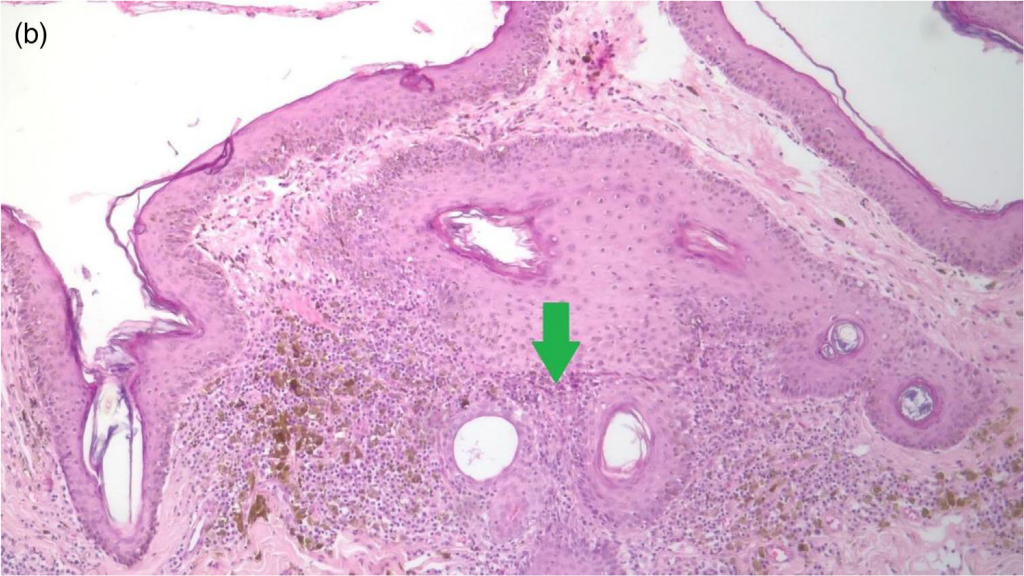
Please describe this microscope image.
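This is skin with a thin, undulating epidermis and several hair follicles cut in cross and oblique section within the dermis. The dermis around the follicles is crowded with small, dark, round lymphocytes, and coarse brown pigment granules lie in clumps among these cells.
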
